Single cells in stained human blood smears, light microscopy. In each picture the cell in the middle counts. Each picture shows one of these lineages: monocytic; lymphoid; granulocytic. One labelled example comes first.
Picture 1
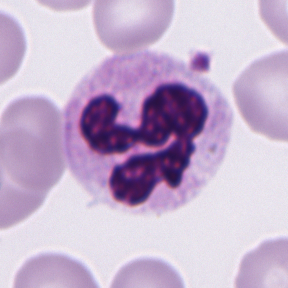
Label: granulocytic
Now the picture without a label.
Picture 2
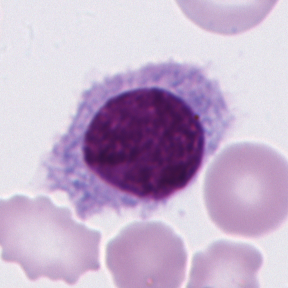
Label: lymphoid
